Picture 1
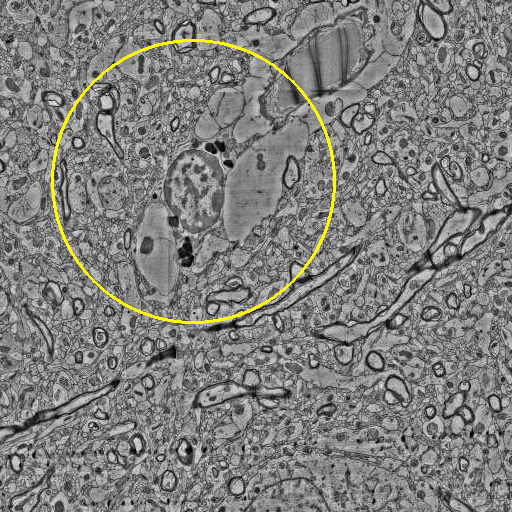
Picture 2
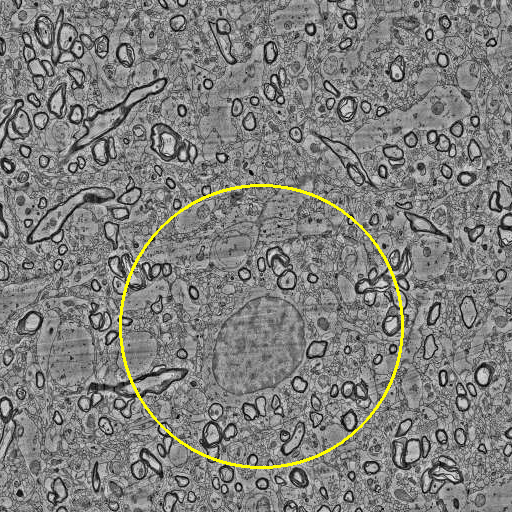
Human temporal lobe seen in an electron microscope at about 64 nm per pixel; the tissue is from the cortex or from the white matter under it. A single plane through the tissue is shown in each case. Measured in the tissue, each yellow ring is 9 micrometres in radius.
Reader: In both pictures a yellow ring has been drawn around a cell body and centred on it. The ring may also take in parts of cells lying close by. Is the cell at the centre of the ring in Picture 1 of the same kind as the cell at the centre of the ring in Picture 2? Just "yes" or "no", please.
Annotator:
no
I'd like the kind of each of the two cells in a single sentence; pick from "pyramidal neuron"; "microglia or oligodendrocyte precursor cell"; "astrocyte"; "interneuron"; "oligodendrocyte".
The first ring marks a microglial cell or oligodendrocyte precursor cell, and the second ring marks an oligodendrocyte.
